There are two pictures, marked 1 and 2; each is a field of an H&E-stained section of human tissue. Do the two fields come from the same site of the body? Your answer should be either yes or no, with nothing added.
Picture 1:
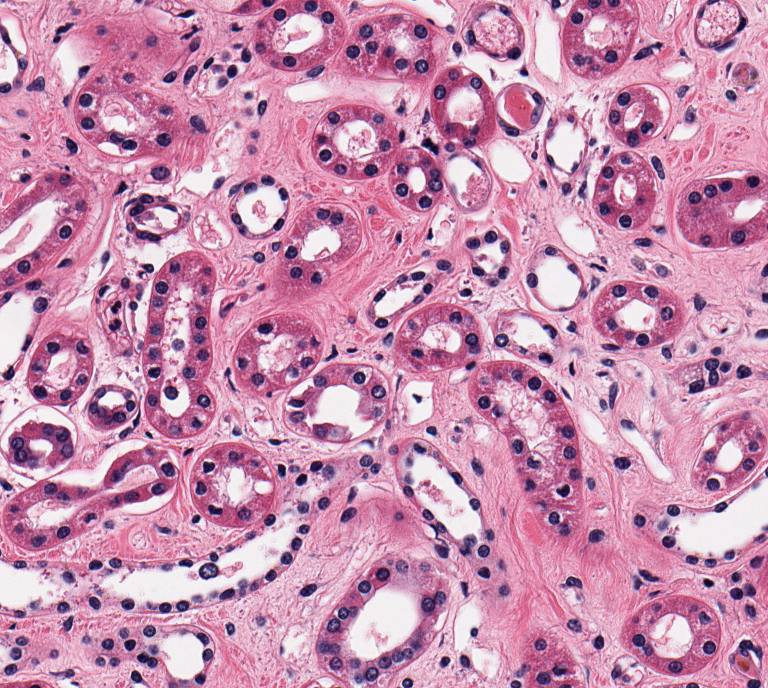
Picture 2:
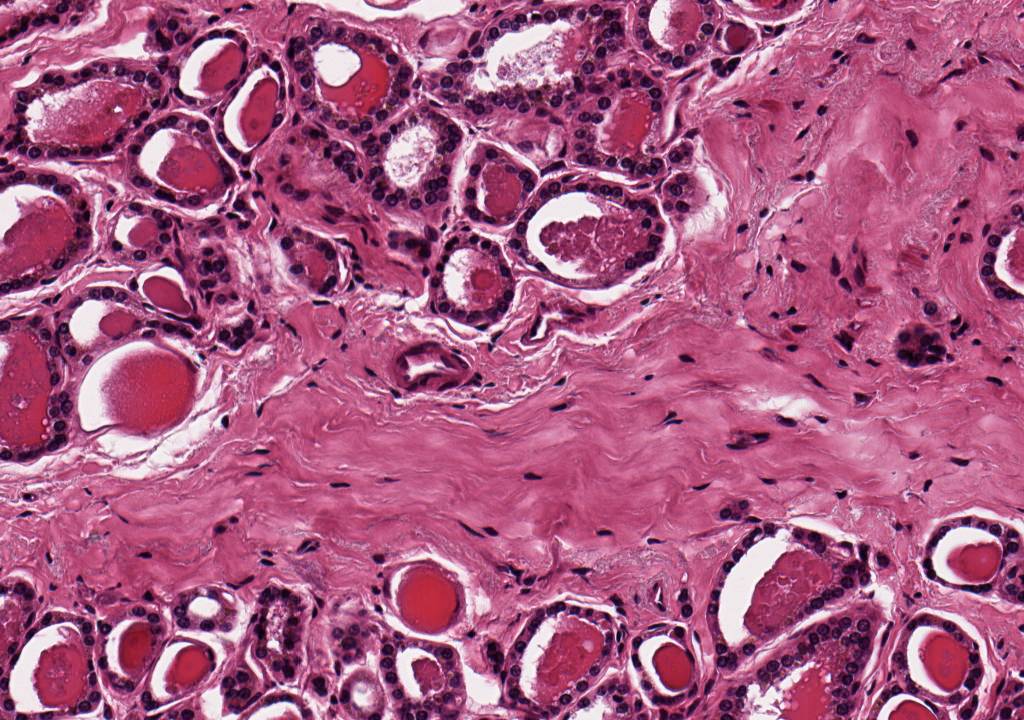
no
